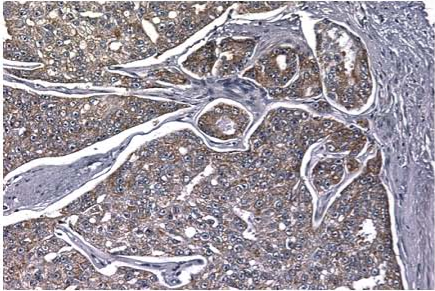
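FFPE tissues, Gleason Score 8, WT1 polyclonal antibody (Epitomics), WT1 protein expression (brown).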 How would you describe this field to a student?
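This is prostate carcinoma growing as large solid sheets of epithelial cells rather than as separate, orderly glands. The cells are packed closely, with round to oval nuclei stained blue and a moderate amount of cytoplasm that is diffusely brown throughout the sheet. Only a few small gland-like spaces remain inside the cell masses. Thin, pale strands of fibrous stroma run between the nests, and a broader band of stroma sits at the right edge. The stroma is not brown, so the colour is confined to the tumor cells.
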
